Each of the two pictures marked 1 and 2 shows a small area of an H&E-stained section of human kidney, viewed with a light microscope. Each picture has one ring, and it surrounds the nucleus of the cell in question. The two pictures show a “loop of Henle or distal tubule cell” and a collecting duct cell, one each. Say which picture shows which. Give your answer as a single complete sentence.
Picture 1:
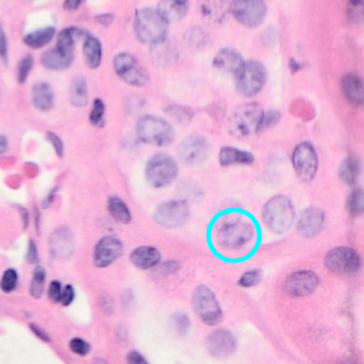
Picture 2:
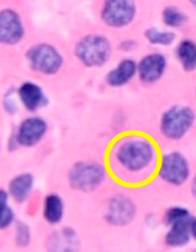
The cell in picture 1 is a collecting duct cell, and the one in picture 2 is a “loop of Henle or distal tubule cell”.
